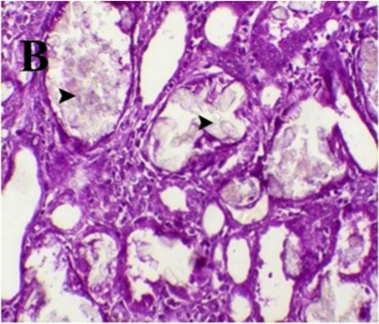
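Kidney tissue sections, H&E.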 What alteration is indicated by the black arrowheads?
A: Massive tubular urolithiasis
